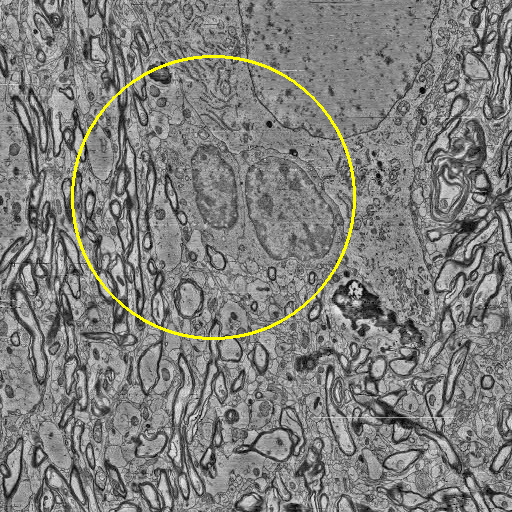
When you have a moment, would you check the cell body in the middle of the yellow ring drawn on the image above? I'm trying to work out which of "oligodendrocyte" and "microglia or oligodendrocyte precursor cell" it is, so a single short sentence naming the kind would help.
This cell body belongs to an oligodendrocyte.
